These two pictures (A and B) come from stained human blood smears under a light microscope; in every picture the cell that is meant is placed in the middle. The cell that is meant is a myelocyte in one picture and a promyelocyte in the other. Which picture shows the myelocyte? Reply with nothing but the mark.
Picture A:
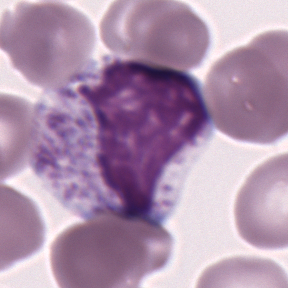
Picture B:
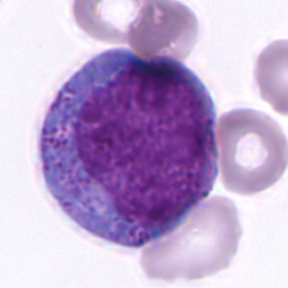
A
